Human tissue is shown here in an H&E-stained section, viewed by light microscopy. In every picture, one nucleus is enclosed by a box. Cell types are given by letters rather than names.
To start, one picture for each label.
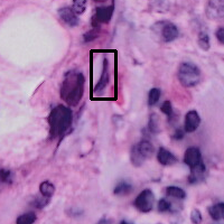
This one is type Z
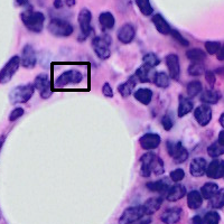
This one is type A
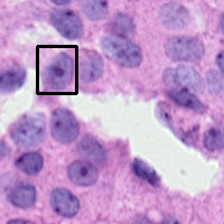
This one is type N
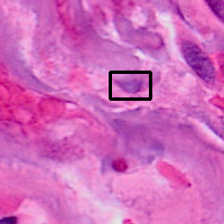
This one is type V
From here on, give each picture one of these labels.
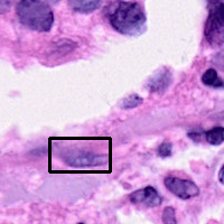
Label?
type Z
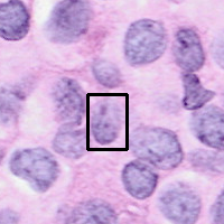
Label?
type N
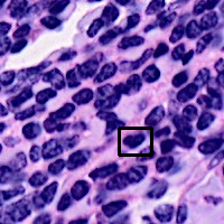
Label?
type A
